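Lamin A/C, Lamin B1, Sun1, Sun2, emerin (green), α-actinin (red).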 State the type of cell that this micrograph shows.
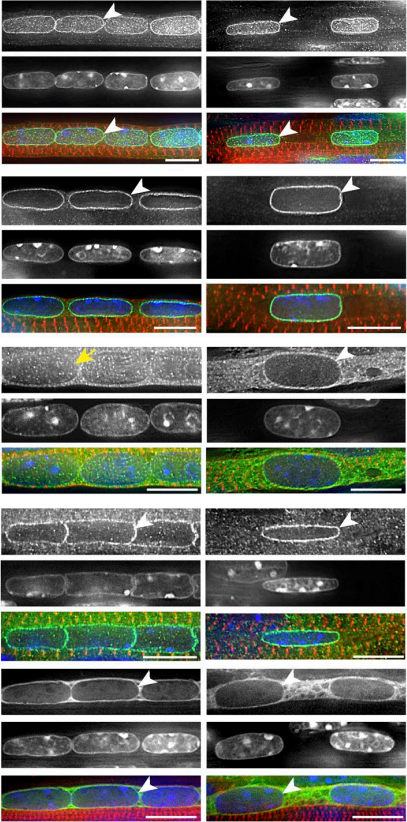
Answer: Skeletal muscle fibers.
